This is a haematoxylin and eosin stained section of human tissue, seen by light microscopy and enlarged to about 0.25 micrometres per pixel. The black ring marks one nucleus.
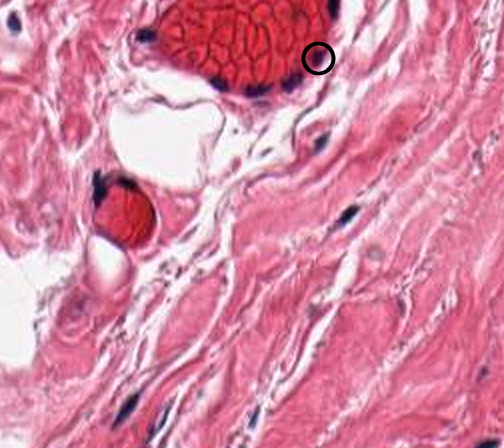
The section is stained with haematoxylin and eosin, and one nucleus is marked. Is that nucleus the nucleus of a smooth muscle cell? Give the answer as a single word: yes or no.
no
